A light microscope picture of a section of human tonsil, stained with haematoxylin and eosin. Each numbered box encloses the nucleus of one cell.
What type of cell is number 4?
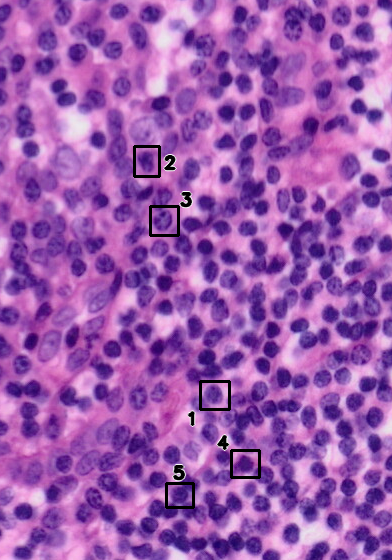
small lymphocyte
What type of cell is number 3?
plasma cell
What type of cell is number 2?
plasma cell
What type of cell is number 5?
small lymphocyte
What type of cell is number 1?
small lymphocyte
